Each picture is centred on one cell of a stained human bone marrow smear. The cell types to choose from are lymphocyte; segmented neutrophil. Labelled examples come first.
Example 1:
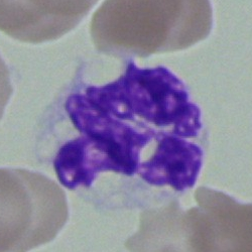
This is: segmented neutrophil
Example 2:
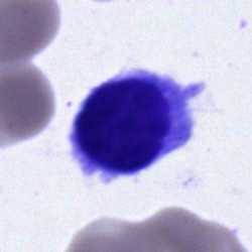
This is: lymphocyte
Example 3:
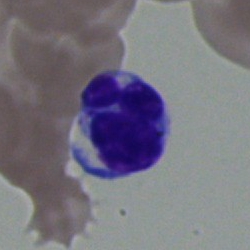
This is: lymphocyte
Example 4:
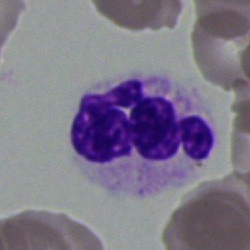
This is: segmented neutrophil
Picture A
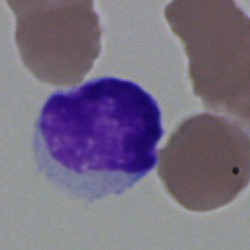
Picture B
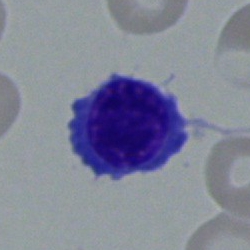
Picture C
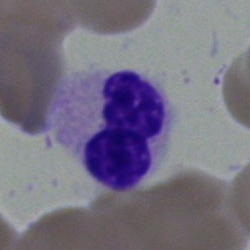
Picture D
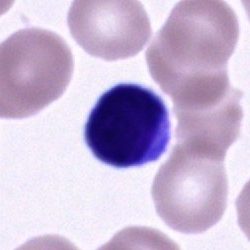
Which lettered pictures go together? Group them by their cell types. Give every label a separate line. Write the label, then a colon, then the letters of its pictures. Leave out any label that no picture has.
lymphocyte: A, B, D
segmented neutrophil: C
